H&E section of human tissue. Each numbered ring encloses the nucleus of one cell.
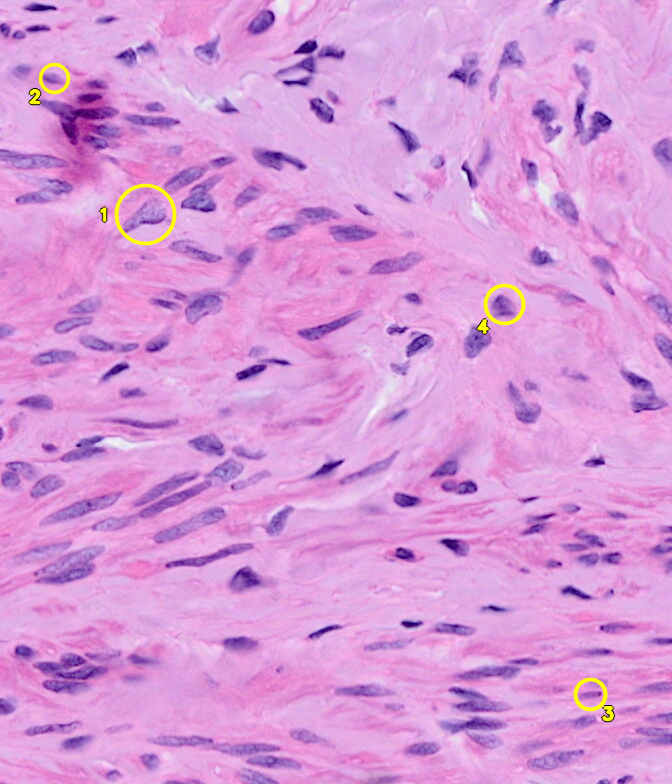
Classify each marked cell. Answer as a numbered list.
1. smooth muscle cell
2. smooth muscle cell
3. smooth muscle cell
4. fibroblast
